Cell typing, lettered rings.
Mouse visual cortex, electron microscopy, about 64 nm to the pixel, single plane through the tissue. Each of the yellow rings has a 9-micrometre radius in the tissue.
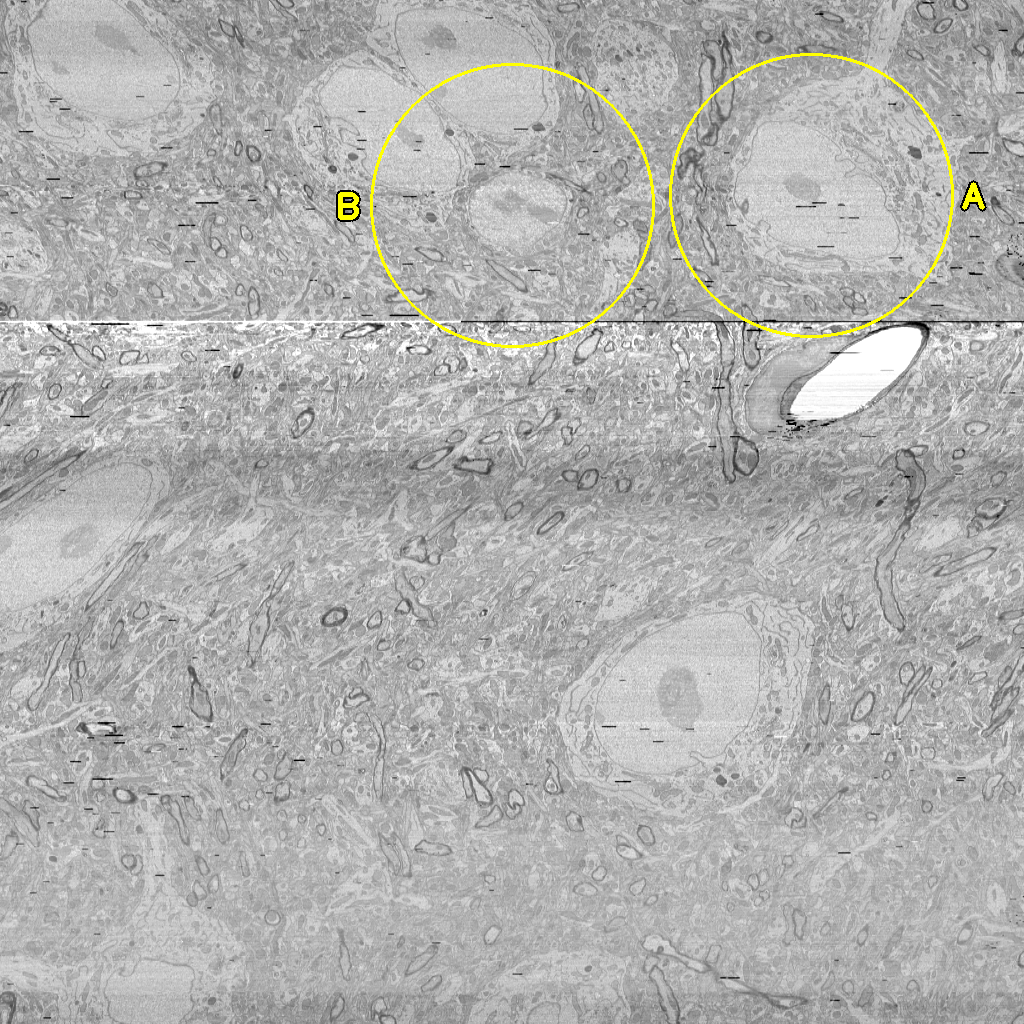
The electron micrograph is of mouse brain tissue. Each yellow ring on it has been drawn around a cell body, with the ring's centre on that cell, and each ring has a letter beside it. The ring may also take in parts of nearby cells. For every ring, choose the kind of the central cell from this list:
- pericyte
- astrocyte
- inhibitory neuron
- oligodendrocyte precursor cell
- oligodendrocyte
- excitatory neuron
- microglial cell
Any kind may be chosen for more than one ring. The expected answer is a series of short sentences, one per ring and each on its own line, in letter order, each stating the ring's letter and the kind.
For ring A, the centred cell is an excitatory neuron.
For ring B, the centred cell is an astrocyte.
